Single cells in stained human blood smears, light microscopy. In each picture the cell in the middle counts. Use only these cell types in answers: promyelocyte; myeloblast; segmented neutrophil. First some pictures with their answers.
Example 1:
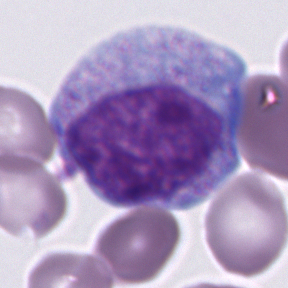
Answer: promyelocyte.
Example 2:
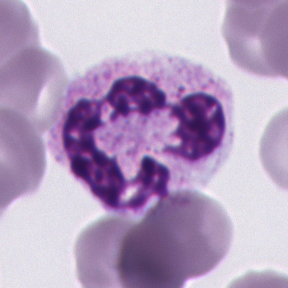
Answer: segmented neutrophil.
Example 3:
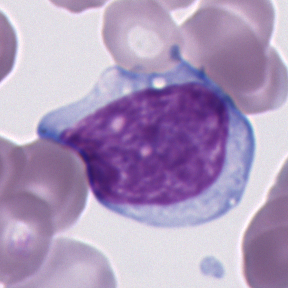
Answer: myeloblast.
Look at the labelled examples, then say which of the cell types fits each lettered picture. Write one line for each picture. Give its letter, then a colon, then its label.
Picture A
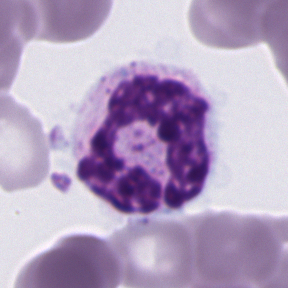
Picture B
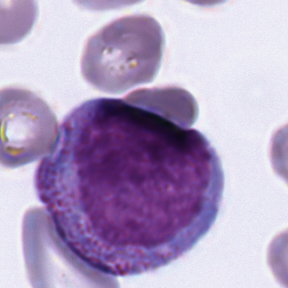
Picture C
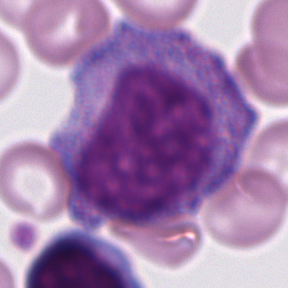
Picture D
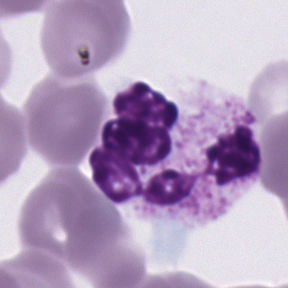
A: segmented neutrophil.
B: promyelocyte.
C: promyelocyte.
D: segmented neutrophil.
